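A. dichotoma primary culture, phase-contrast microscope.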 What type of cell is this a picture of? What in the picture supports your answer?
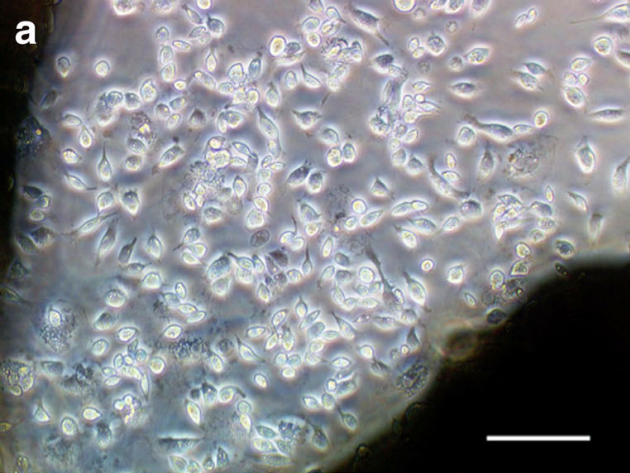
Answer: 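Many small, separate, rounded to teardrop-shaped cells scattered over the dish. Cells are refractile with bright halos. Some larger cells with granular cytoplasm lie among them.
Conclusion: Hemocyte-like cells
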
